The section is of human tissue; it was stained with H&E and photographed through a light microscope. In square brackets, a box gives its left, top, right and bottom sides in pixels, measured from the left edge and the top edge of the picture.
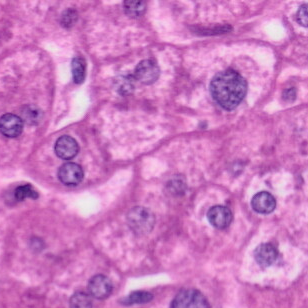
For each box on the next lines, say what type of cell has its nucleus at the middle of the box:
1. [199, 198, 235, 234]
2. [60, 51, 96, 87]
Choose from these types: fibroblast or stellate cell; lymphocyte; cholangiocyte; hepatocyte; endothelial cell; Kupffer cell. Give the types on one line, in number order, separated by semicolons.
hepatocyte; Kupffer cell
